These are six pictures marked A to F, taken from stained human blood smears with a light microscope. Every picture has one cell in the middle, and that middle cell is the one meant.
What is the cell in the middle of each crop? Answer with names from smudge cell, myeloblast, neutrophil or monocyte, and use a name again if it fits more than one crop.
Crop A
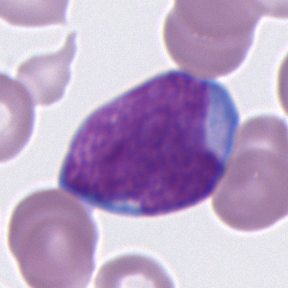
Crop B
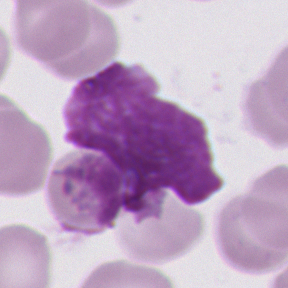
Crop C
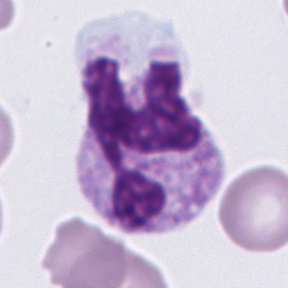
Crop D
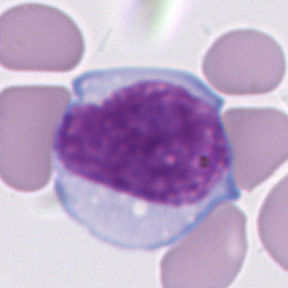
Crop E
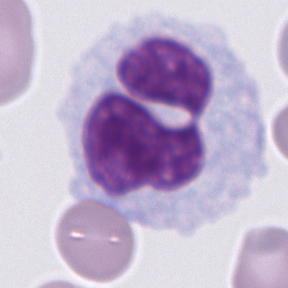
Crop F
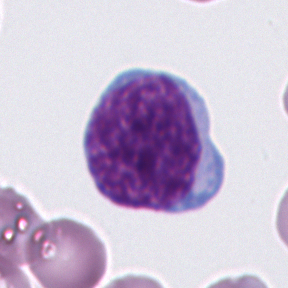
A: myeloblast
B: smudge cell
C: neutrophil
D: myeloblast
E: monocyte
F: myeloblast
